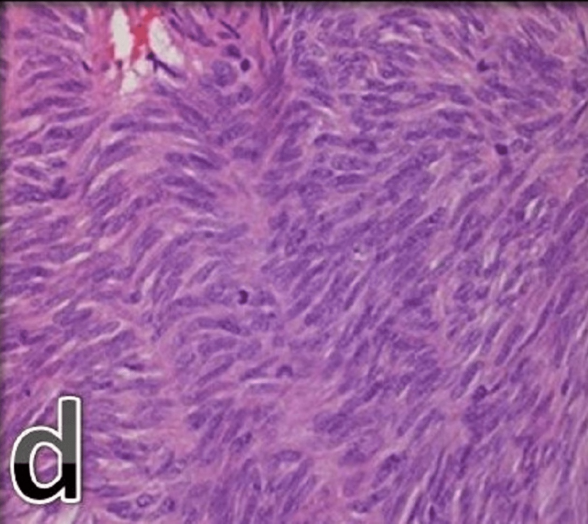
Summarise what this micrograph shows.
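Neoplastic spindle cells are packed densely in sweeping, intersecting bundles. Nuclei are elongated, dark purple and oriented along the long axis of the cells, with some variation in size. Nucleoli are not prominent. Cytoplasm is scant, pale pink and drawn out into tapering ends with indistinct cell borders. A small vessel with red blood cells is seen at the top of the field.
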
